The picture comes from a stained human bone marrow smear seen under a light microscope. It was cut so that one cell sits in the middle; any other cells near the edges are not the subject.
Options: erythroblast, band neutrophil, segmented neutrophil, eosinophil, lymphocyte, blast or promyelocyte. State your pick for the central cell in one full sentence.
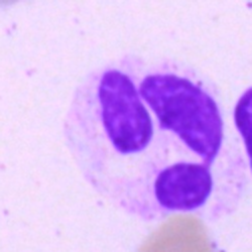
The crop centres on a single cell, and that cell is a segmented neutrophil.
